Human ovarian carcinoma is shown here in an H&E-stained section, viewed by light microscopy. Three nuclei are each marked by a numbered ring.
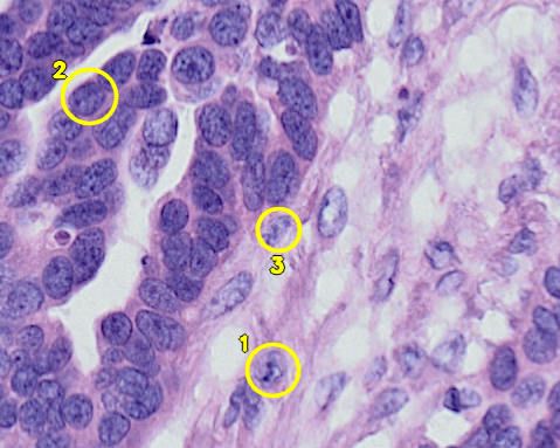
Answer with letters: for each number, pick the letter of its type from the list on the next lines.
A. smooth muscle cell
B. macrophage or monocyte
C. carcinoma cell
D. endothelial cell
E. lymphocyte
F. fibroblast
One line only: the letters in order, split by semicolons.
F; C; F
